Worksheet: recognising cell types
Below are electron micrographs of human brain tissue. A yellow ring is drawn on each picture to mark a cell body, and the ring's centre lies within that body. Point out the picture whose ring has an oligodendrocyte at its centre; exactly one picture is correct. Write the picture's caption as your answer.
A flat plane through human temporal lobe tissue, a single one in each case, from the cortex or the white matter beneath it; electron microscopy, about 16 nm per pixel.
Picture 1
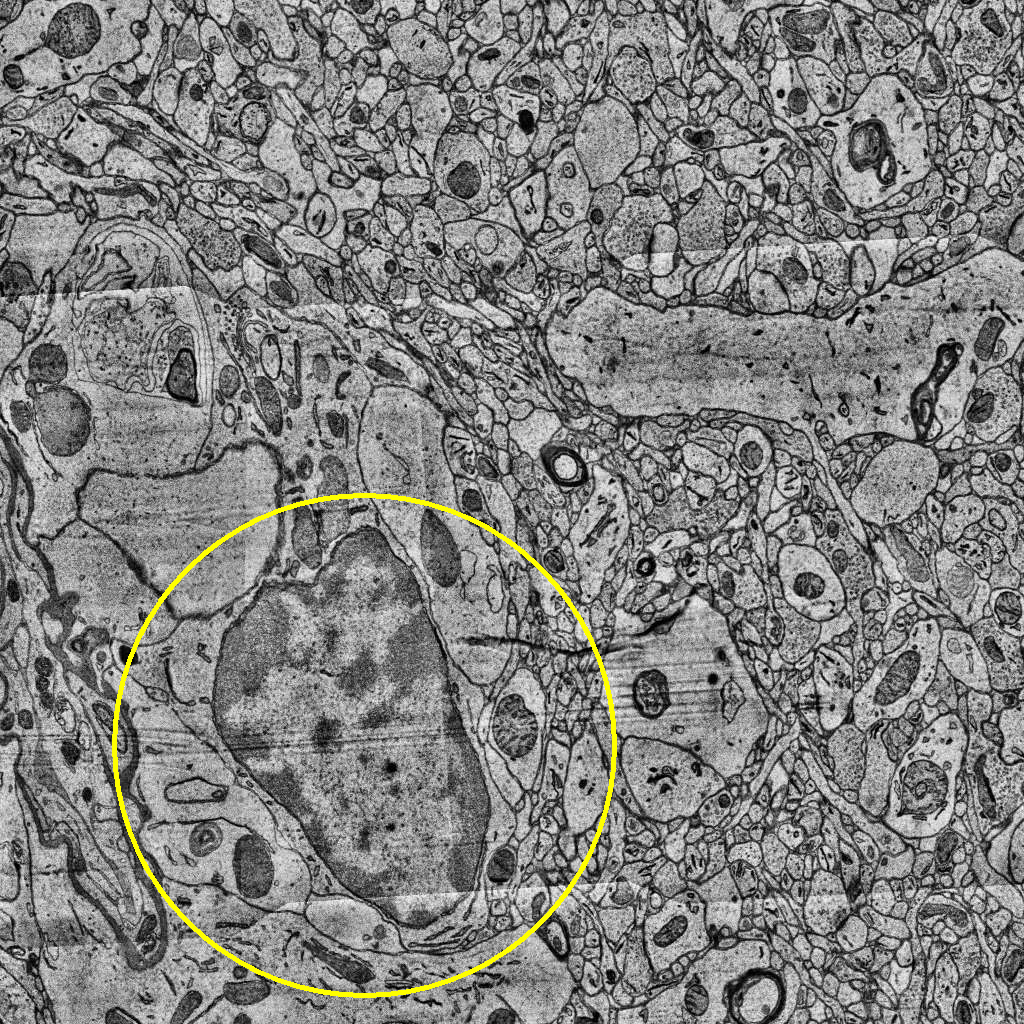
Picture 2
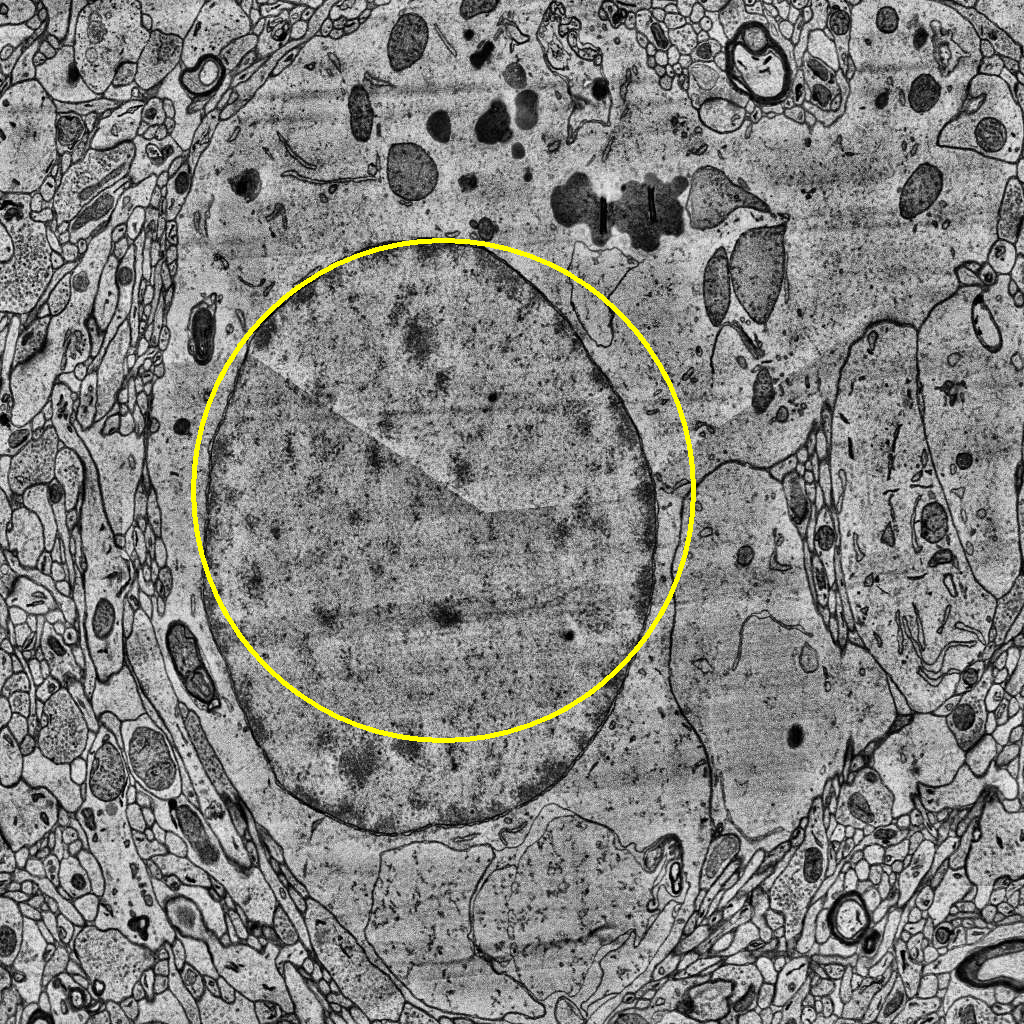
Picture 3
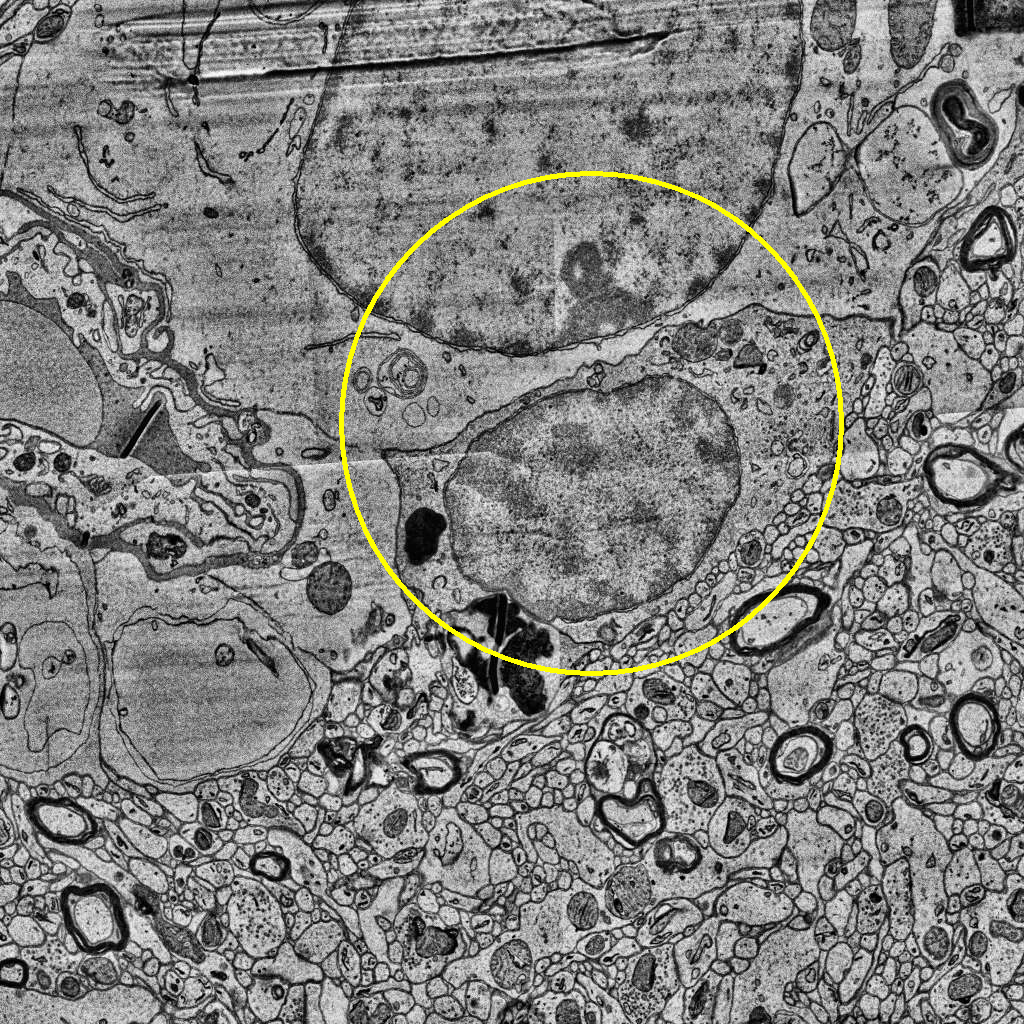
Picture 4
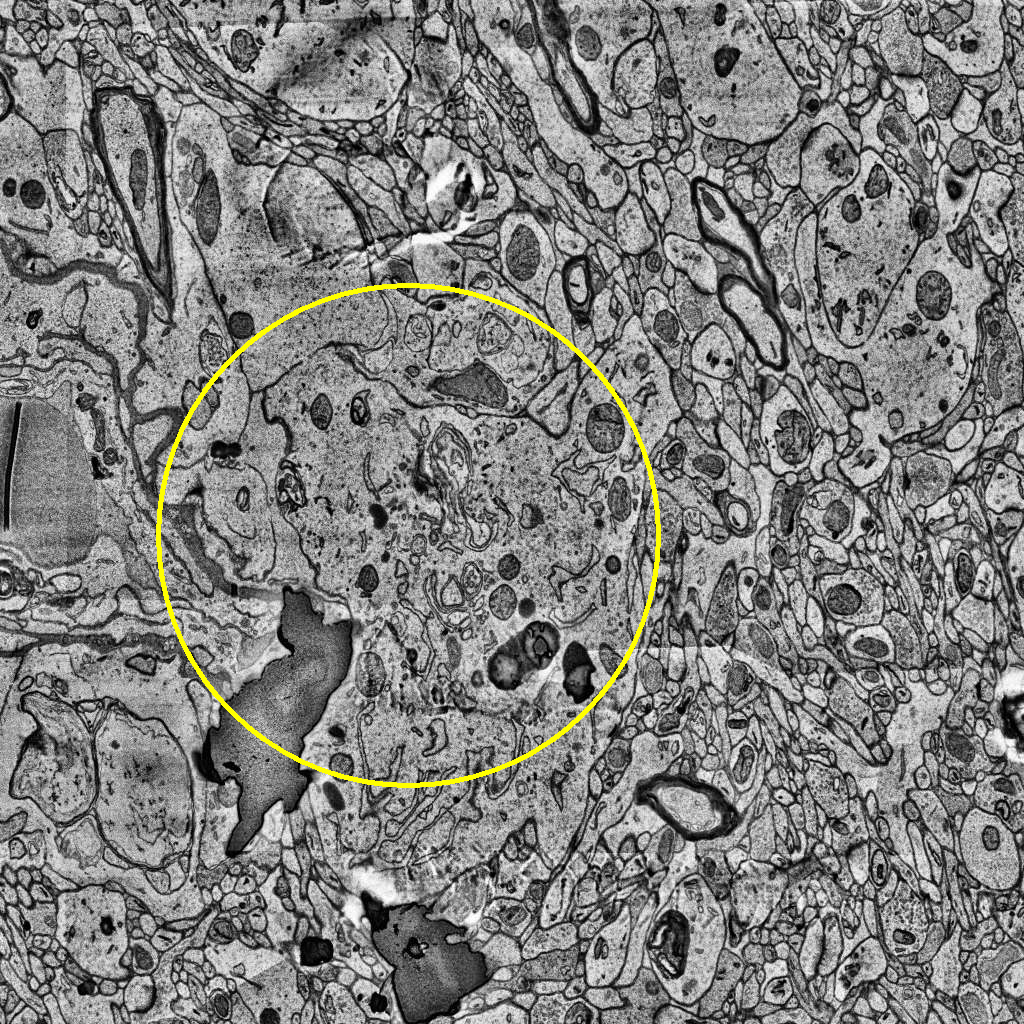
Picture 3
